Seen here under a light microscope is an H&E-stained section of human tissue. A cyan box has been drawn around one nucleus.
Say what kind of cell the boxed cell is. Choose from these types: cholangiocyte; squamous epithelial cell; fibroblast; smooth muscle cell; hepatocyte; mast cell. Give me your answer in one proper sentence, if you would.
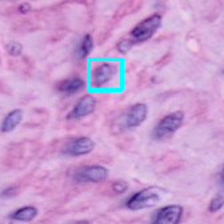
Within the stained tissue, the boxed cell is a smooth muscle cell.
